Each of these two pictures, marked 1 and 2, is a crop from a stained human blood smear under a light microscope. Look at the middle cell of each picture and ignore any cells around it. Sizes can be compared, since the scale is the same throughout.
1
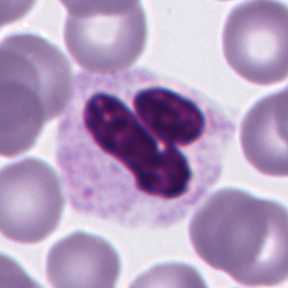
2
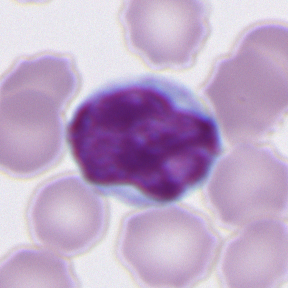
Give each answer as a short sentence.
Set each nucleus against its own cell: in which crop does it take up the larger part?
It is the cell in crop 2 that is filled more by its nucleus.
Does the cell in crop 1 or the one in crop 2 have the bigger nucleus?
It is the nucleus in crop 2, about 1.5 times as large in area as the one in crop 1.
